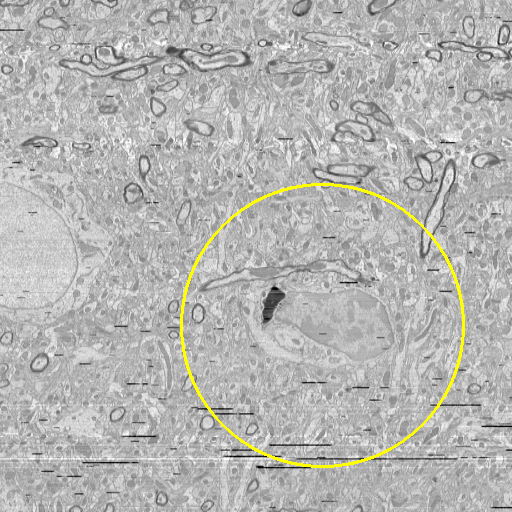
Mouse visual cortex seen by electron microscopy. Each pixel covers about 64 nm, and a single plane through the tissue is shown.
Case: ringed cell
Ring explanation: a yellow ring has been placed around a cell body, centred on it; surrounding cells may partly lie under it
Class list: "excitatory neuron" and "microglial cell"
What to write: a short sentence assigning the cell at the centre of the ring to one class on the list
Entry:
The cell at the ring's centre is a microglial cell.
